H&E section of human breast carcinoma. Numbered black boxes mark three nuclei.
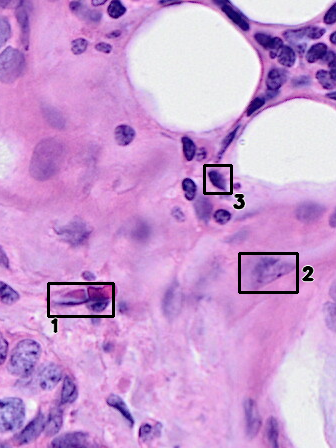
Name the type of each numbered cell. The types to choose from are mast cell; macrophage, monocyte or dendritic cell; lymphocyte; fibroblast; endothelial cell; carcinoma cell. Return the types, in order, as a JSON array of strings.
["endothelial cell", "fibroblast", "lymphocyte"]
